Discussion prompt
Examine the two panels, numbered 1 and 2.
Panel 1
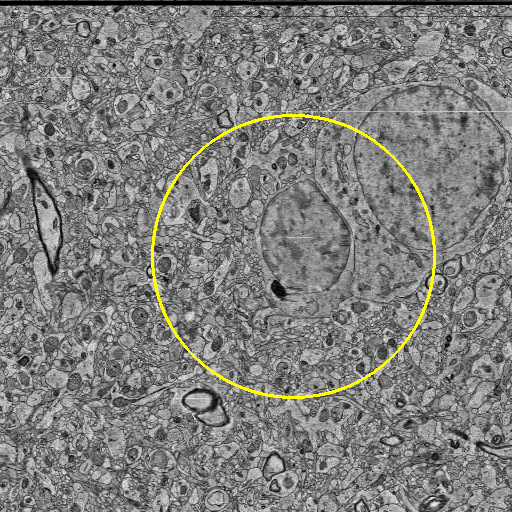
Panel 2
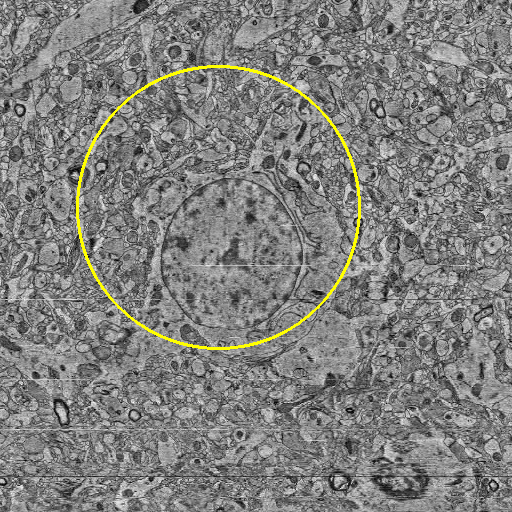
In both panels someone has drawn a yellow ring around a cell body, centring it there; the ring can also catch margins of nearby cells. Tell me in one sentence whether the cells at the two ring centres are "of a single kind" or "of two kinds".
Taken together, the two cells centred in the rings of Panels 1 and 2 are of two kinds.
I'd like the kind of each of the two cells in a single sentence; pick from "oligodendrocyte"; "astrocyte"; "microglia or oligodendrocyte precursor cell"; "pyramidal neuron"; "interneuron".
The first ring marks an oligodendrocyte, and the second ring marks an astrocyte.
